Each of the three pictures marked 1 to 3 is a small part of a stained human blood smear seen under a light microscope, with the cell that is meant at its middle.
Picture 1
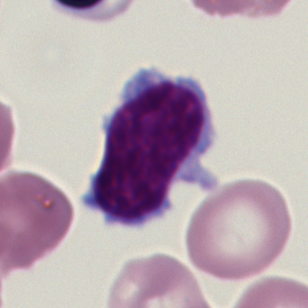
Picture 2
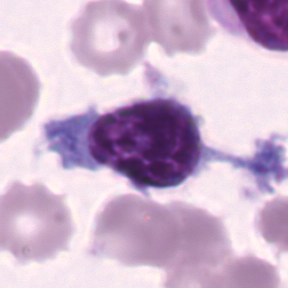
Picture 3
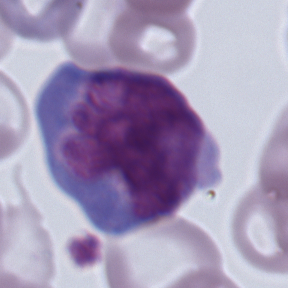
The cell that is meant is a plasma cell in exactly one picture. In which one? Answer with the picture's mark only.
2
